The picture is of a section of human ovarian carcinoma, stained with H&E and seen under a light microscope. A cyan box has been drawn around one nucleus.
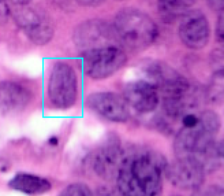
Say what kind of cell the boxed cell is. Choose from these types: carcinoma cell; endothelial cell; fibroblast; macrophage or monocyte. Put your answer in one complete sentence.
Assigned to a cell type, the boxed cell is a carcinoma cell.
